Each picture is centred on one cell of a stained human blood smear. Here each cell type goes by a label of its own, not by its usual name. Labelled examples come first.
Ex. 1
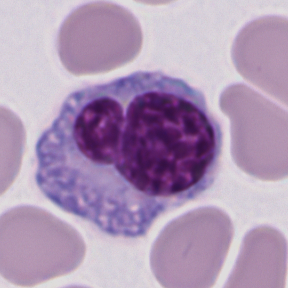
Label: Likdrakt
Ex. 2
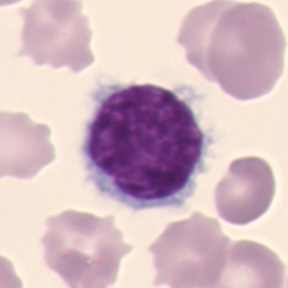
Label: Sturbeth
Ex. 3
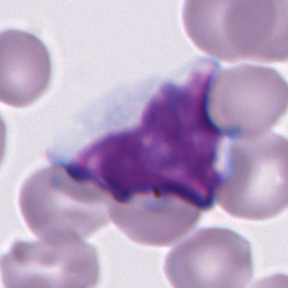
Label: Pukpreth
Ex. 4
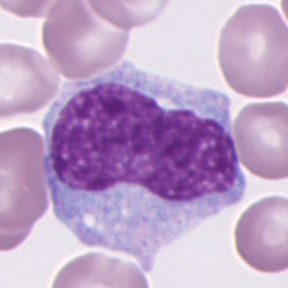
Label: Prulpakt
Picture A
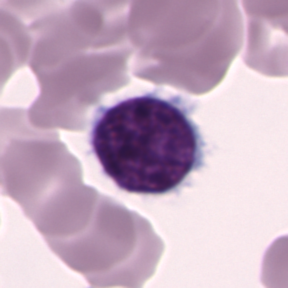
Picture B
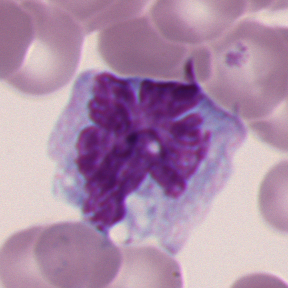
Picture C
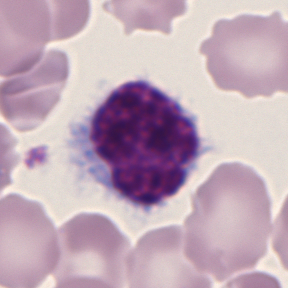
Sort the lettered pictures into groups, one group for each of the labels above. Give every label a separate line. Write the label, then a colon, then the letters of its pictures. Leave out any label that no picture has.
Sturbeth: A, C
Prulpakt: B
